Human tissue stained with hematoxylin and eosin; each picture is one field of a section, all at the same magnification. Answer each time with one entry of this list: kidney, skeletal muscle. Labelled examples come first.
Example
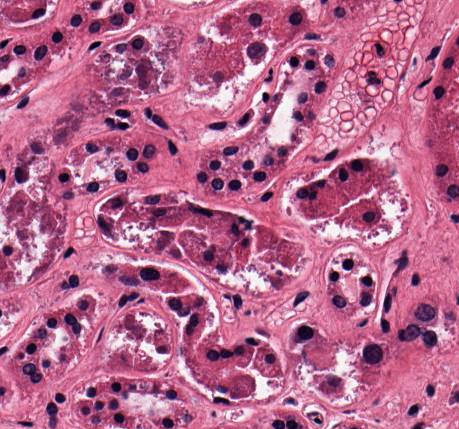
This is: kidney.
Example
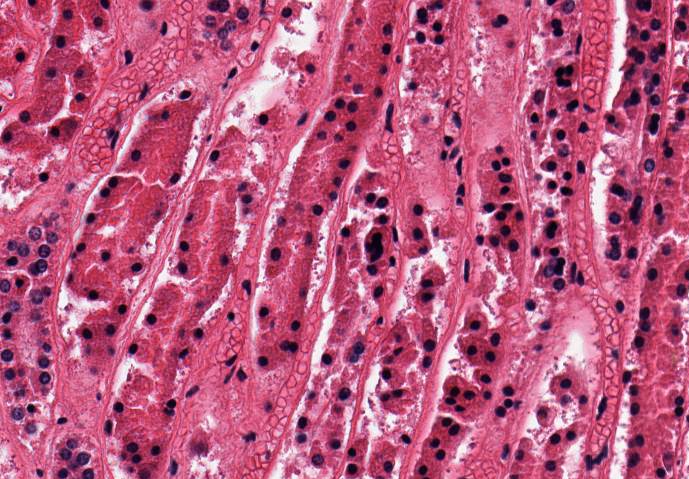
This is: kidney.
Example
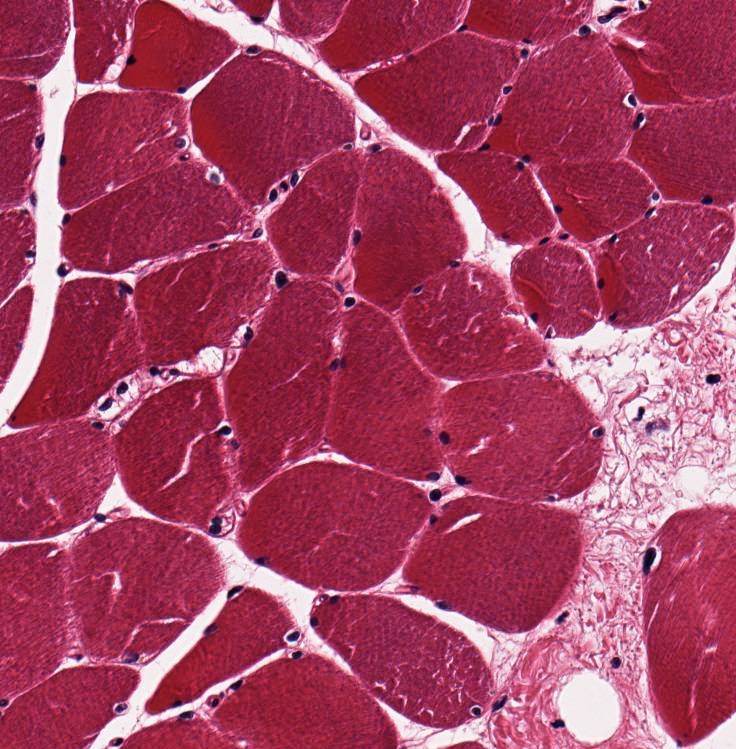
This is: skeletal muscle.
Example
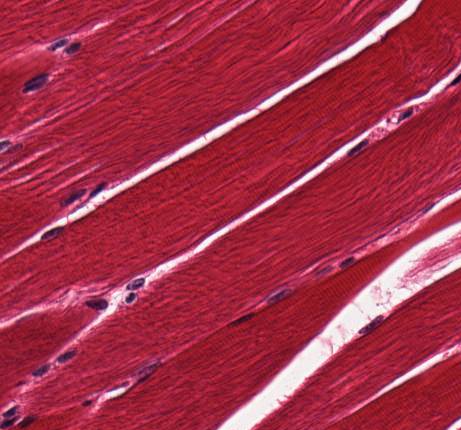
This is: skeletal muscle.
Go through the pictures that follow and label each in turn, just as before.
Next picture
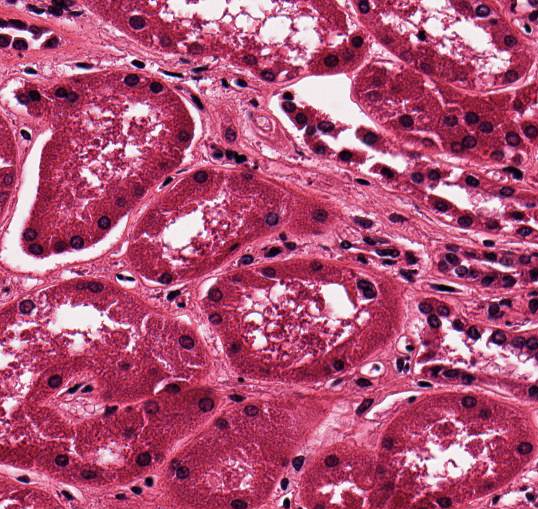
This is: kidney.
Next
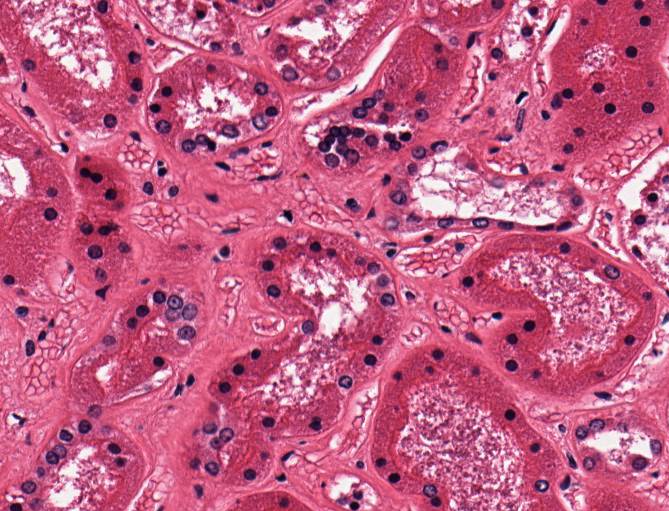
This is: kidney.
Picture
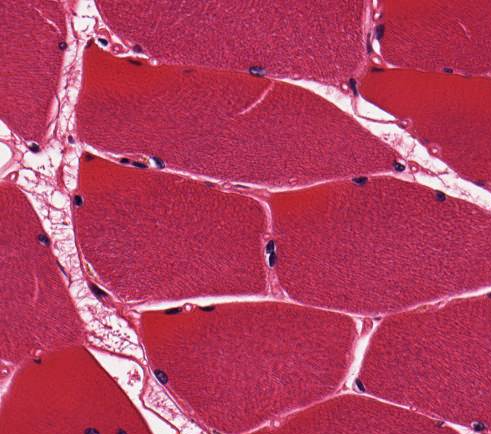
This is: skeletal muscle.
